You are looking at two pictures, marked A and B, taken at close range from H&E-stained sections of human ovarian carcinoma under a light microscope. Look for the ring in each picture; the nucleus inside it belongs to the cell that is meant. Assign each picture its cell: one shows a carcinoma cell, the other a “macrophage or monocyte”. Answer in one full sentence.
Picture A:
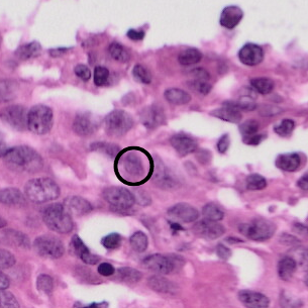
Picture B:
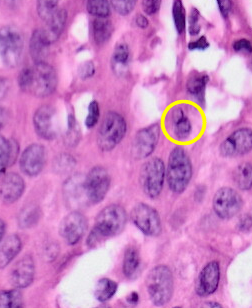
It is picture A that shows a carcinoma cell, and picture B that shows a “macrophage or monocyte”.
